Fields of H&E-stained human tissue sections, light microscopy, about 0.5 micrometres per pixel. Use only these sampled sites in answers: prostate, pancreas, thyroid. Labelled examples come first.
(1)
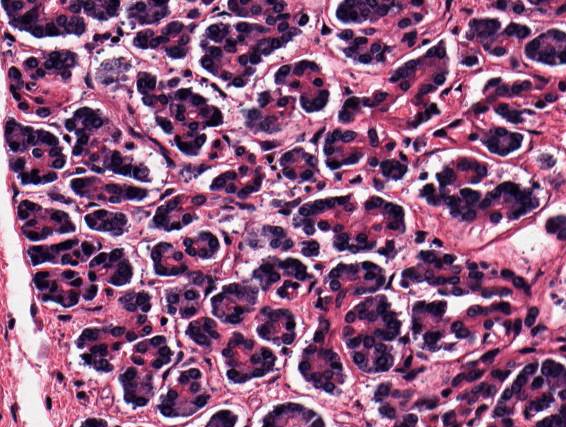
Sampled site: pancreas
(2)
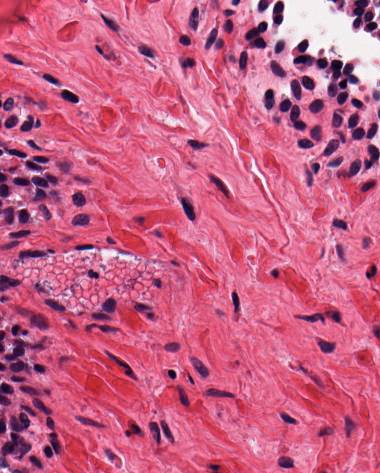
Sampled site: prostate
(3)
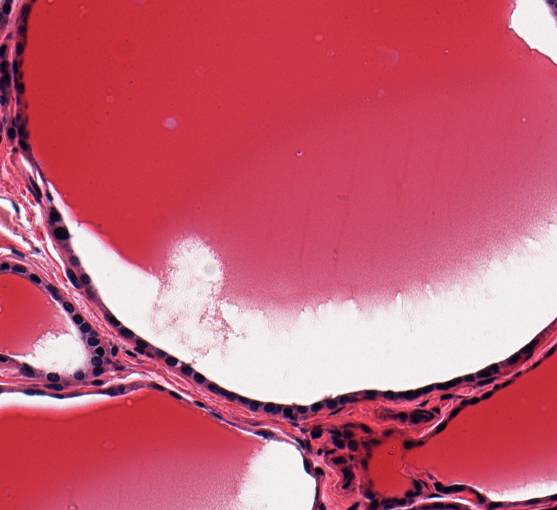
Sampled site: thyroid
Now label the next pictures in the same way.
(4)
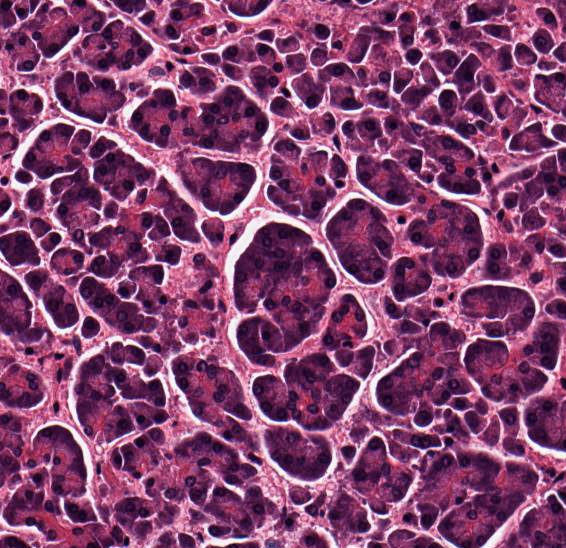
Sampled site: pancreas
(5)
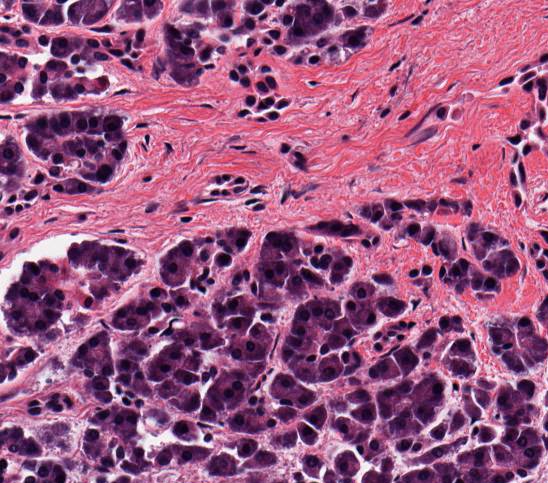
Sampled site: pancreas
